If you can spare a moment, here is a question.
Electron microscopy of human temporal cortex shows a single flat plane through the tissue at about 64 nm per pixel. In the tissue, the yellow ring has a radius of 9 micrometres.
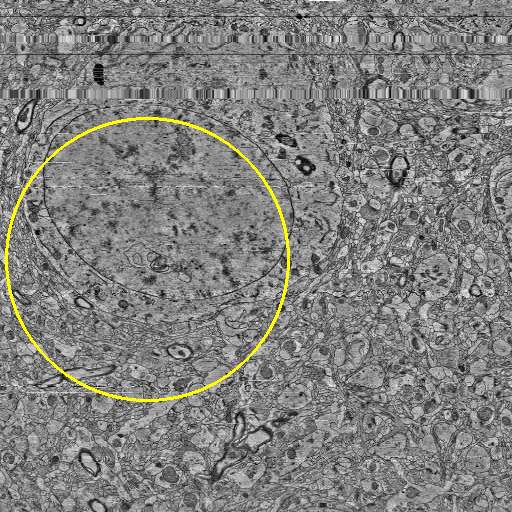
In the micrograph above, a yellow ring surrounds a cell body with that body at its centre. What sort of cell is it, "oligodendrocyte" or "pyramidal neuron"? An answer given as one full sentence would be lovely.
Centred inside the yellow ring, the cell body shown belongs to a pyramidal neuron in this micrograph.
